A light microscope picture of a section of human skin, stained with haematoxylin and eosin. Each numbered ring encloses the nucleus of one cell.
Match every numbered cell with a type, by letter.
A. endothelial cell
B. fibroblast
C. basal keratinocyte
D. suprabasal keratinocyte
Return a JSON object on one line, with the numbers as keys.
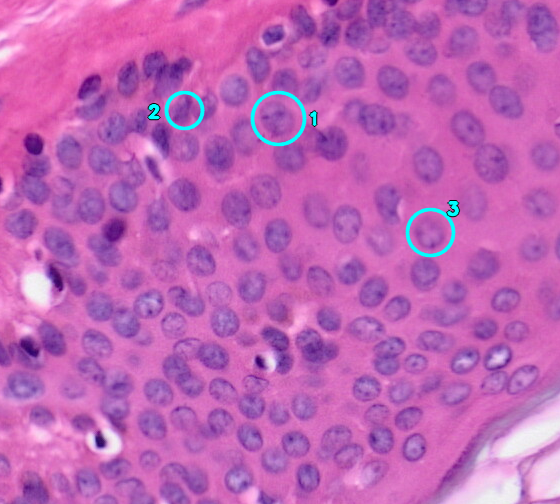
{"1": "D", "2": "C", "3": "D"}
